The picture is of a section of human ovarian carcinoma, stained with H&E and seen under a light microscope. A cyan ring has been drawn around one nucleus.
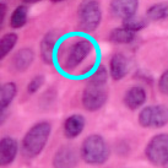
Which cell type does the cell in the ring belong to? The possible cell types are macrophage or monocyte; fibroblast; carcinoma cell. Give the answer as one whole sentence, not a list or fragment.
In the tissue under study, the cell in the ring is a carcinoma cell.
